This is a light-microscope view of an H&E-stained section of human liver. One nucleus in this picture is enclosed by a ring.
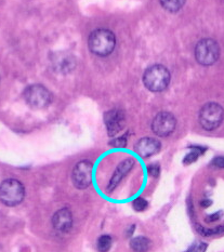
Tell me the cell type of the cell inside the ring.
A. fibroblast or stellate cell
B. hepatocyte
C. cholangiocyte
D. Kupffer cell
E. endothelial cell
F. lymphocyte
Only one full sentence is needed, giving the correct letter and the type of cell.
According to option C, the cell inside the ring is a cholangiocyte, and this is correct.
